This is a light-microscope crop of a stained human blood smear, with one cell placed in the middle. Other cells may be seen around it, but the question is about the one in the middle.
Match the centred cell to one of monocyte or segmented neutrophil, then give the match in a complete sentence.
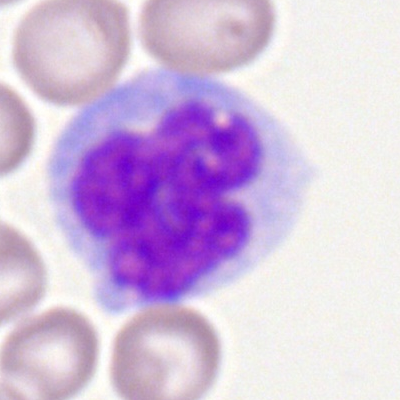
To answer, the cell in the center of the crop is a monocyte.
